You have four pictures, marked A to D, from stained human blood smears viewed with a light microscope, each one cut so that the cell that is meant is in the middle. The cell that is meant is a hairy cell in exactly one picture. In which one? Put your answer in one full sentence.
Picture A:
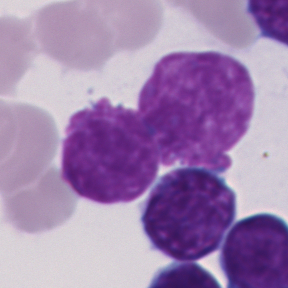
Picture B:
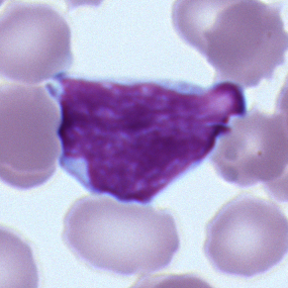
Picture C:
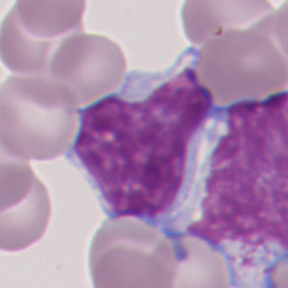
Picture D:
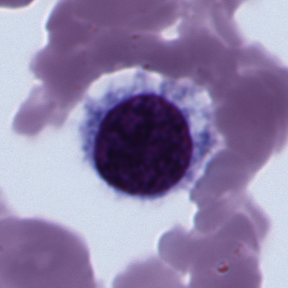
It is picture D that shows the hairy cell.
